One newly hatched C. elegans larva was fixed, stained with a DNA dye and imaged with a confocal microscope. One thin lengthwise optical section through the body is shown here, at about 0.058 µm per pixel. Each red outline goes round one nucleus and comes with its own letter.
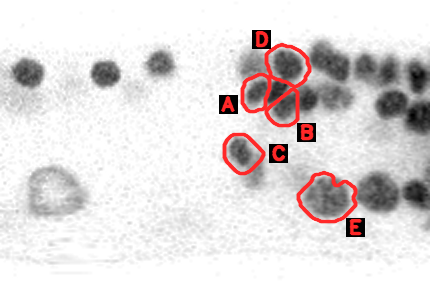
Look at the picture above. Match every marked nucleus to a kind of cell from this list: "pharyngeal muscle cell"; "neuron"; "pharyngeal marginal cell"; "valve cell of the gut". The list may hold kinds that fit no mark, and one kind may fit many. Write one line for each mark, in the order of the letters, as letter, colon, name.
A: valve cell of the gut
B: pharyngeal muscle cell
C: valve cell of the gut
D: neuron
E: pharyngeal muscle cell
